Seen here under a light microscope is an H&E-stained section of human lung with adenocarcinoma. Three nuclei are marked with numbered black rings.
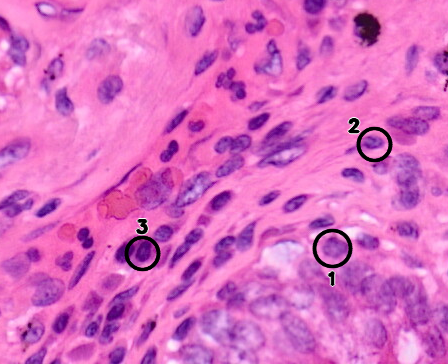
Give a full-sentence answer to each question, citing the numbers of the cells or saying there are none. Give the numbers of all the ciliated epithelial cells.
Only the cell with number 1 is a ciliated epithelial cell.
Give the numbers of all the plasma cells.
Cell 3 is a plasma cell, and that holds for no other numbered cell.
